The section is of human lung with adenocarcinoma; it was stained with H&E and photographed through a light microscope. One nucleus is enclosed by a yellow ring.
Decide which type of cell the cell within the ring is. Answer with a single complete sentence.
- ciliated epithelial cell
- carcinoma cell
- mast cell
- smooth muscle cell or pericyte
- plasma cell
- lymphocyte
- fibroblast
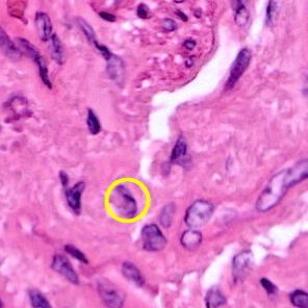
This is a fibroblast.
